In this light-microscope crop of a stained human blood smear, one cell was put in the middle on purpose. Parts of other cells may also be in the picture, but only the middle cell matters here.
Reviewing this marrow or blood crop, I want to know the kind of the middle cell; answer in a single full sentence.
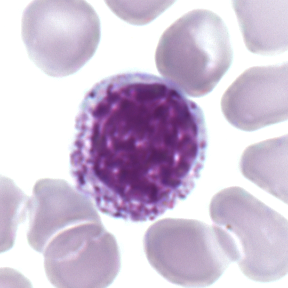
In the middle of this smear crop, the cell is a metamyelocyte.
